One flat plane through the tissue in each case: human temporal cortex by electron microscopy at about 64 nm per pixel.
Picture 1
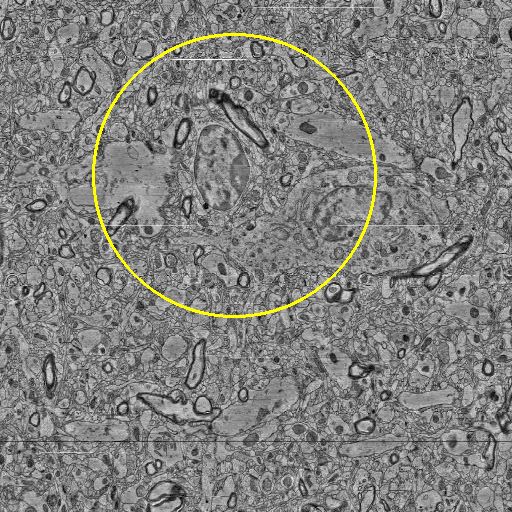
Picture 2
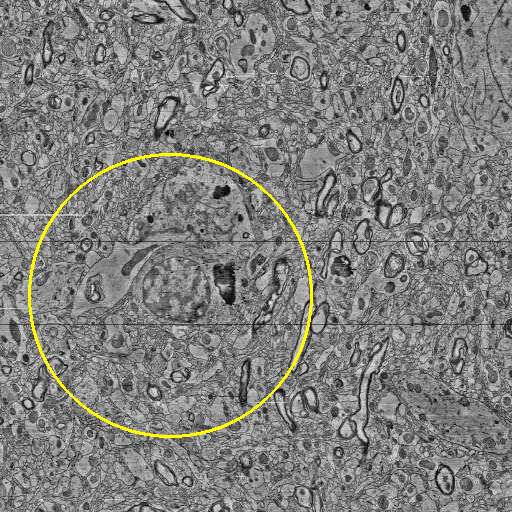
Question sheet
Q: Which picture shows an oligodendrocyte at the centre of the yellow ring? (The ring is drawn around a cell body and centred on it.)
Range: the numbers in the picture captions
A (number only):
2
